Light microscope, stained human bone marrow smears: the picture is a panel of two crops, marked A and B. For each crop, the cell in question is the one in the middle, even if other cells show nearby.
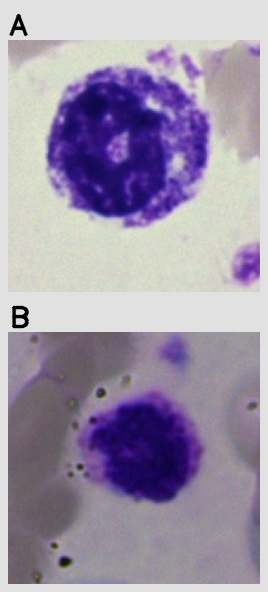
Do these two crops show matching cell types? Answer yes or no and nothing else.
no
